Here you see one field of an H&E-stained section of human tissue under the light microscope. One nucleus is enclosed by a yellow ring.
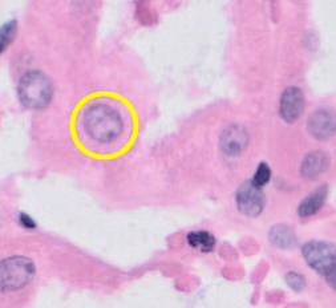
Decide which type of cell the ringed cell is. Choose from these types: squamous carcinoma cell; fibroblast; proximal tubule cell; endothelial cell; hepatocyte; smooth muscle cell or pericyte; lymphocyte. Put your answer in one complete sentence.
So far as cell type goes, the ringed cell is a proximal tubule cell.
